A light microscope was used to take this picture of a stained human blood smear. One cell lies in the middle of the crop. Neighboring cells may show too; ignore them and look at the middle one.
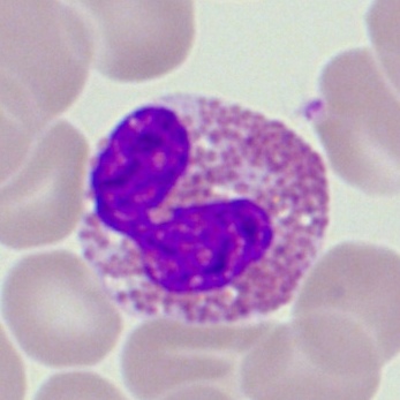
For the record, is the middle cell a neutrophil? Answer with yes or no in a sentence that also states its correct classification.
No, it is an eosinophil and not a neutrophil that occupies the middle of the crop.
